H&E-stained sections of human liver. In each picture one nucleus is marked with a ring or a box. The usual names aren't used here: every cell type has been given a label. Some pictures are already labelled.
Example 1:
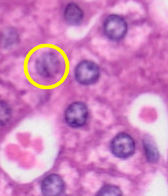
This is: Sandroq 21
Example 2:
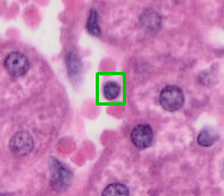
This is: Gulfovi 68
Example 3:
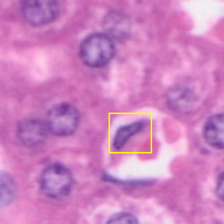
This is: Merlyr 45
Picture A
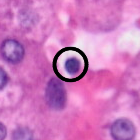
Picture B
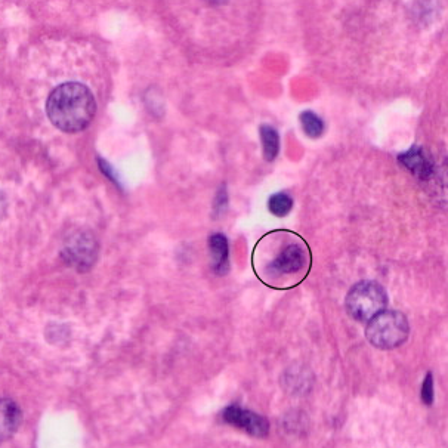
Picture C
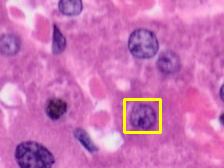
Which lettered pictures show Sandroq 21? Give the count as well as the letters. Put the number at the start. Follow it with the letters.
1: C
